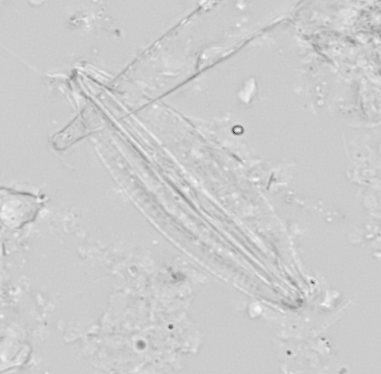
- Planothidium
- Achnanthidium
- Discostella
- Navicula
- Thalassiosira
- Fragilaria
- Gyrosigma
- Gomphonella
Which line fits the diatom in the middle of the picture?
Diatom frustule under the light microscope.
Navicula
